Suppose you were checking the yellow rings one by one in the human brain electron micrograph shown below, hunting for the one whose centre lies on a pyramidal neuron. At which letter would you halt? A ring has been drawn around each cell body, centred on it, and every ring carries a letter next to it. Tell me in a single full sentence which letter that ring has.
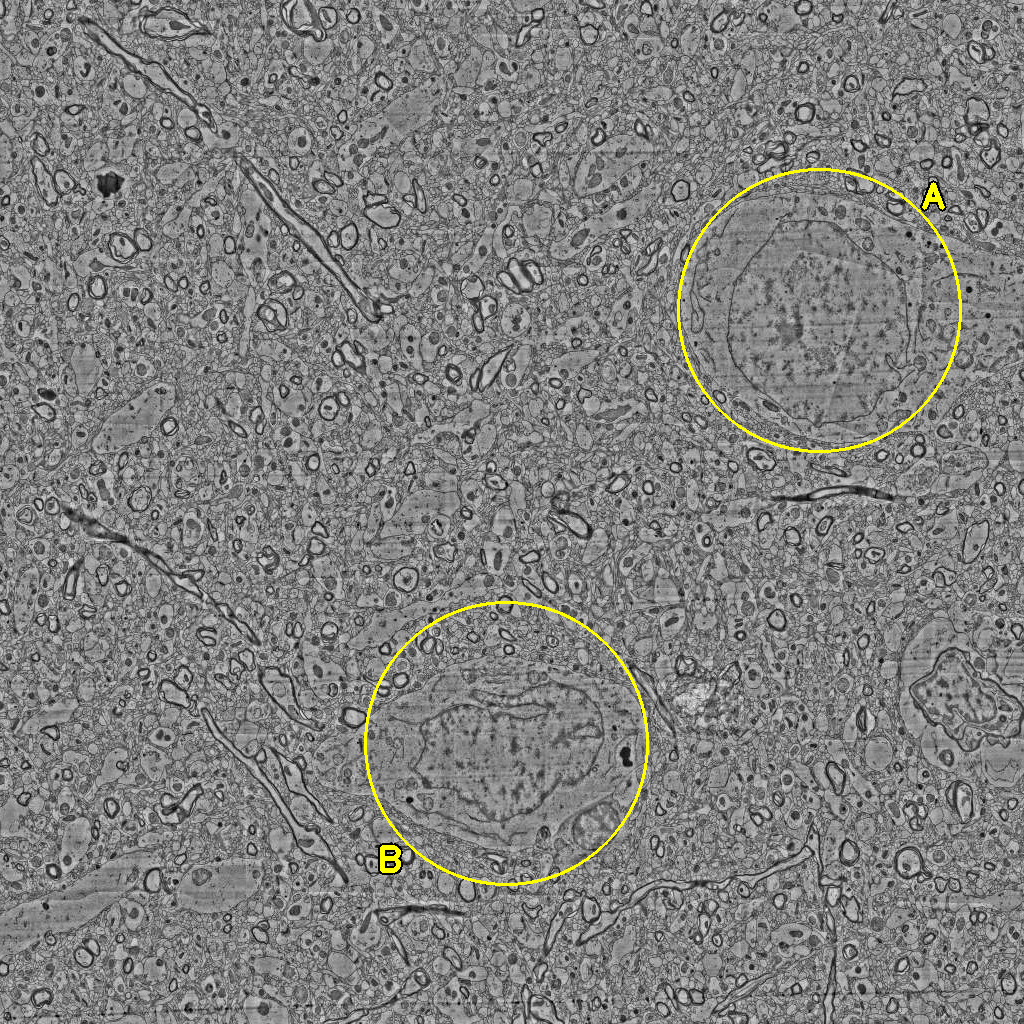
Going through the rings, I would stop at ring A, the one centred on the cell asked for.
